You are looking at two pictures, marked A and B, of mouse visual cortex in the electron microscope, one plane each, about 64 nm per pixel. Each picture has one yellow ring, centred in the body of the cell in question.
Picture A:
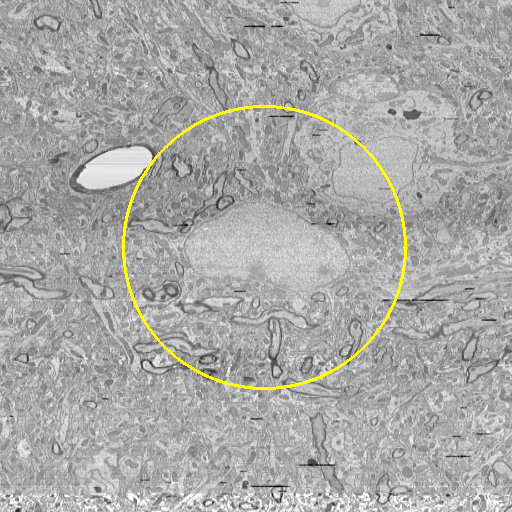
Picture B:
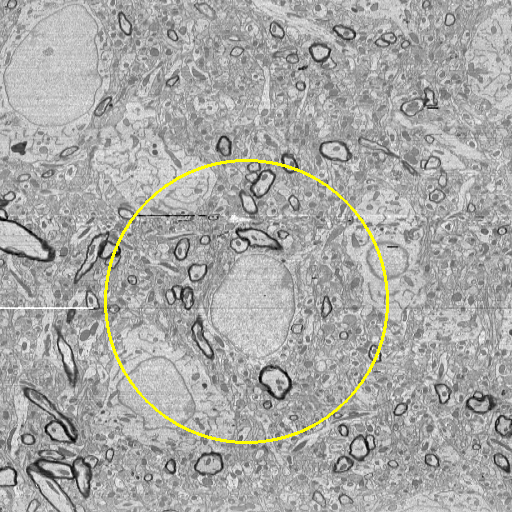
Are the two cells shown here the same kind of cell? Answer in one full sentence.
Yes, they are the same type: both are astrocytes.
